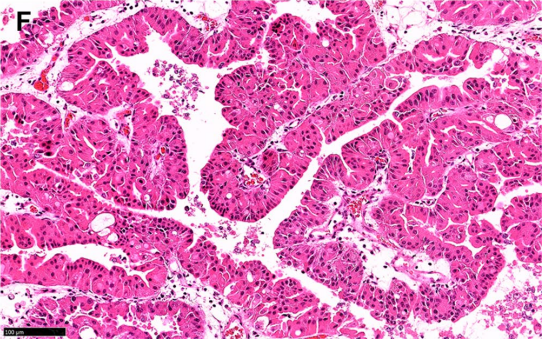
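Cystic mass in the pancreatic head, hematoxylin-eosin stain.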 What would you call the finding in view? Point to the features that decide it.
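Cells have abundant deep pink cytoplasm. Cells line papillae around thin cores containing red blood cells.
Hence: oncocytic features.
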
